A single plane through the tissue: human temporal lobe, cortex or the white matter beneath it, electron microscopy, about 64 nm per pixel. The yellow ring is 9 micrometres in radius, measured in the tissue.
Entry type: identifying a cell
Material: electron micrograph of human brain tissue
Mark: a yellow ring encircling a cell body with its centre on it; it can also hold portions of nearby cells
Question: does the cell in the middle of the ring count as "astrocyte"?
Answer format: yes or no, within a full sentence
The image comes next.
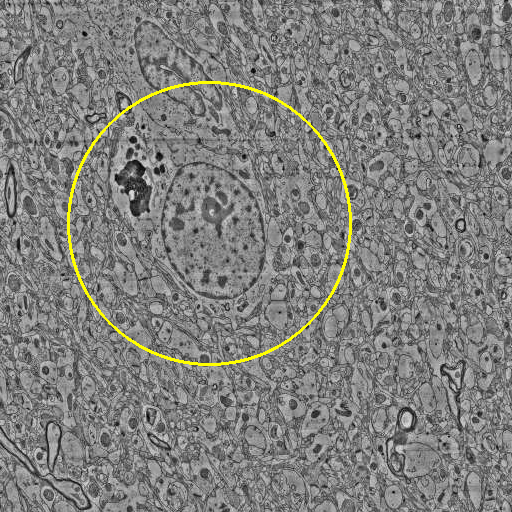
Yes, in the image, the cell in the middle of the yellow ring counts as the queried kind.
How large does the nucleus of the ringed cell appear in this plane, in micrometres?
In this plane, about 9 micrometres in length and 7 in width.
